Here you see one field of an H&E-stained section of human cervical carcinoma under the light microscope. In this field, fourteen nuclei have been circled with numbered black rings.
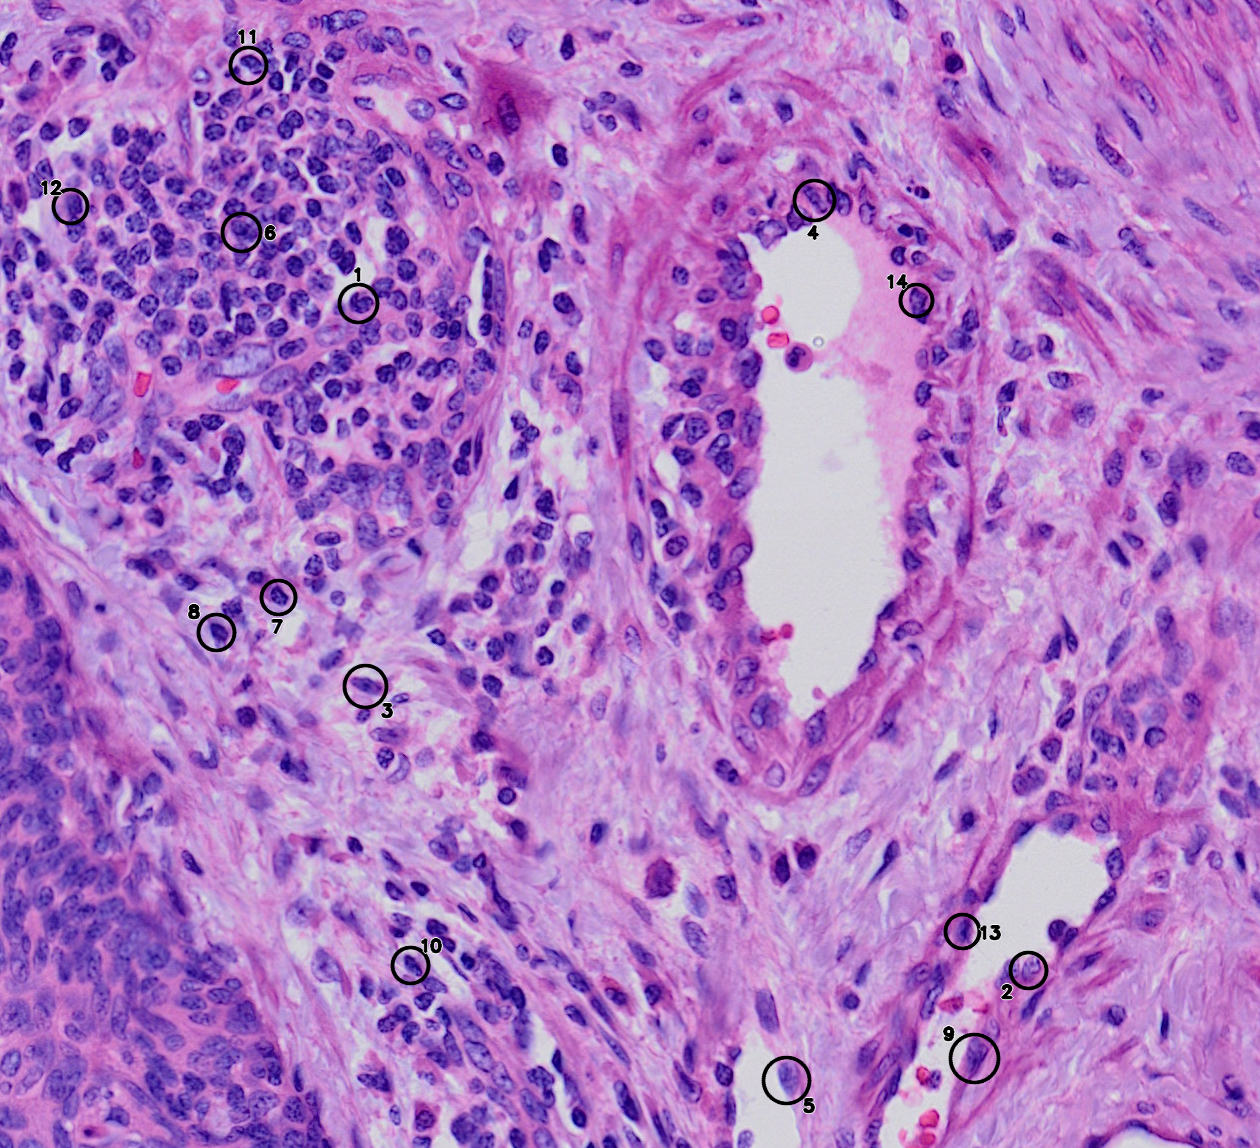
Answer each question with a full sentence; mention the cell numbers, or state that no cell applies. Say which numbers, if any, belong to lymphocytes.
Cells 1, 3, 6, 7, 8, 10, 11 and 12 are lymphocytes by cell type.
